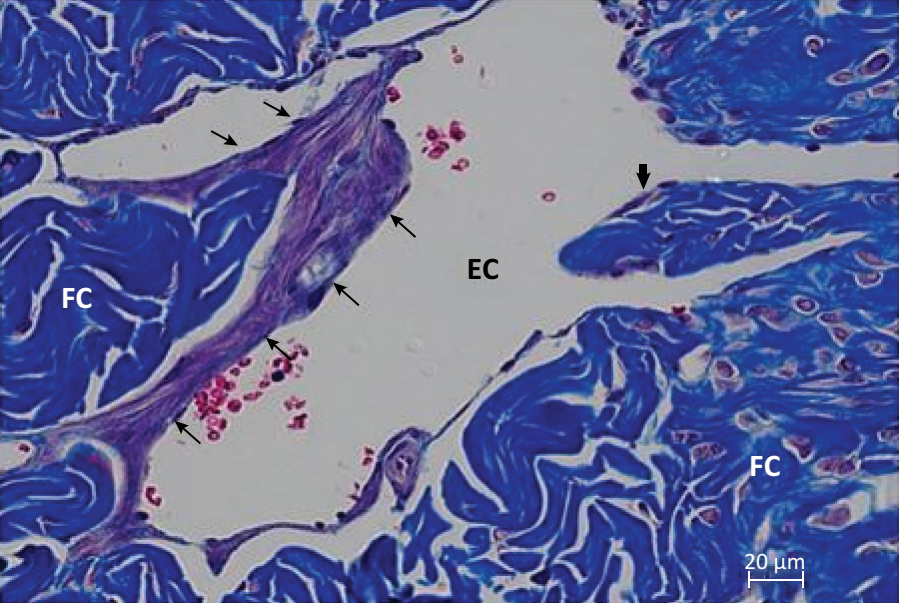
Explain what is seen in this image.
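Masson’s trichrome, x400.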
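Connective trabeculae made mostly of wavy bright-blue collagen fibers surround a large, irregular cavernous space. One trabecula crossing the space holds a band of purple-staining subendothelial smooth muscle beneath a thin lining. Flattened endothelial nuclei line the edges of the space, and red-stained red blood cells lie loose inside it.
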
